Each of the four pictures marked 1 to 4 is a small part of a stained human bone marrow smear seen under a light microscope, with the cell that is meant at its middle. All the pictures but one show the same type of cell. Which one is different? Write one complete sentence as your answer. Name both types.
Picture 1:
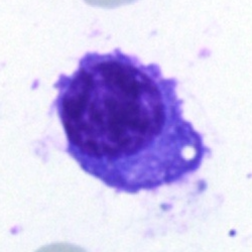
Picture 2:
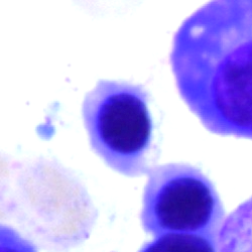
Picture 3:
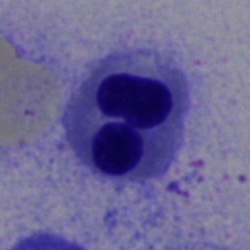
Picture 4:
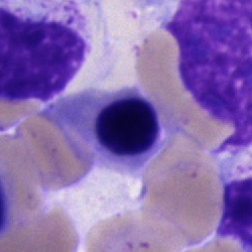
Unlike the rest, which show erythroblasts, picture 1 shows a plasma cell.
